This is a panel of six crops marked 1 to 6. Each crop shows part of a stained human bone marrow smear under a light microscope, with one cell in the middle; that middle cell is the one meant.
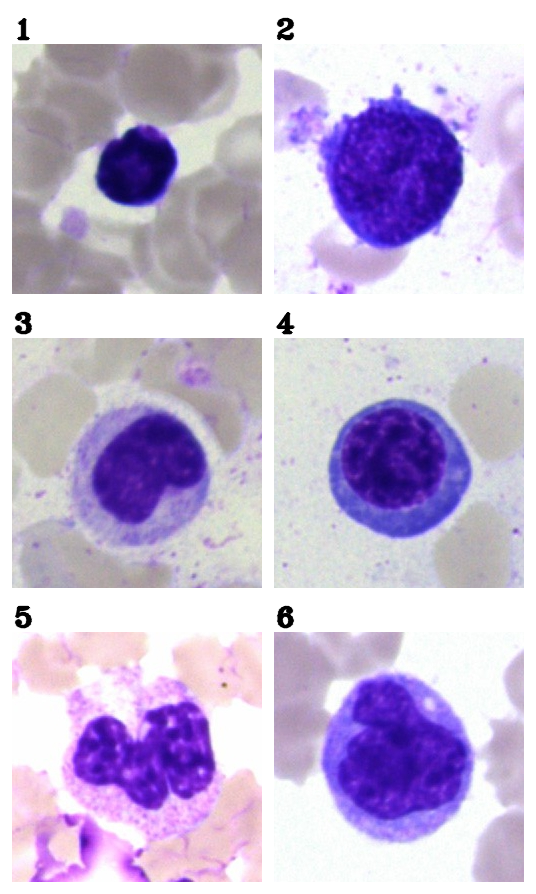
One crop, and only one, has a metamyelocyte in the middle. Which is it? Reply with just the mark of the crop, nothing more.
3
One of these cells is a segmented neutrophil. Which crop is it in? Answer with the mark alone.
5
